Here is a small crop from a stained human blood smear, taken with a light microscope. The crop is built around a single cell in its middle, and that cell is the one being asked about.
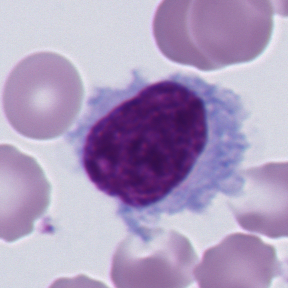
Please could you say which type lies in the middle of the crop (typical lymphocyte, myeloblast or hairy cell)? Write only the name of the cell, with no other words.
hairy cell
